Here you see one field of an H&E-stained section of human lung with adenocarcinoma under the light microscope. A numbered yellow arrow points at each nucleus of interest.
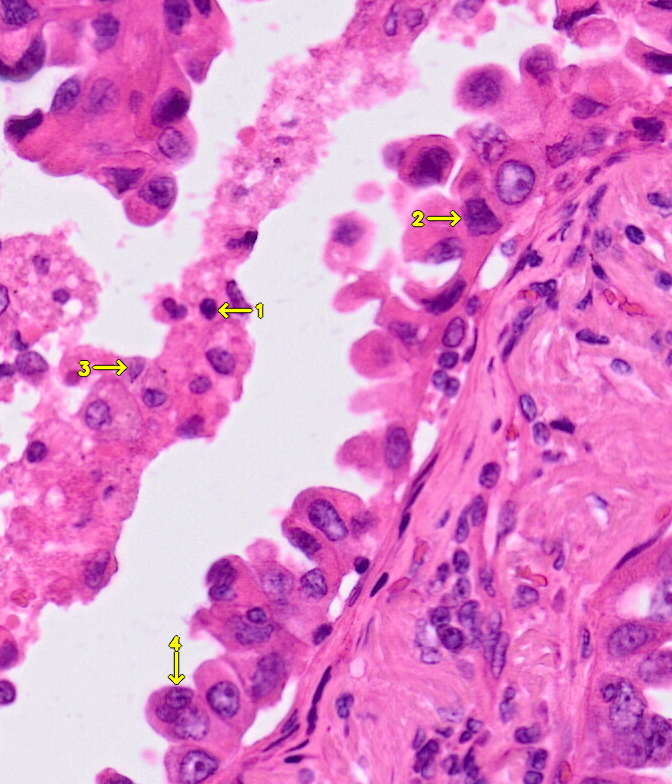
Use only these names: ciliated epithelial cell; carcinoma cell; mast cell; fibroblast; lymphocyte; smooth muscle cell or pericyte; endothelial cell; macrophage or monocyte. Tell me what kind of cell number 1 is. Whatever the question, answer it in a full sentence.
Classified as a lymphocyte is the cell with the number 1.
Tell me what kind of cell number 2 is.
What the number 2 marks in this field is a carcinoma cell.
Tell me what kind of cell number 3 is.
Within this field of view, the cell labelled 3 is a macrophage or monocyte.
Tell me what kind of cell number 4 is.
It is as a carcinoma cell that the cell numbered 4 is identified.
